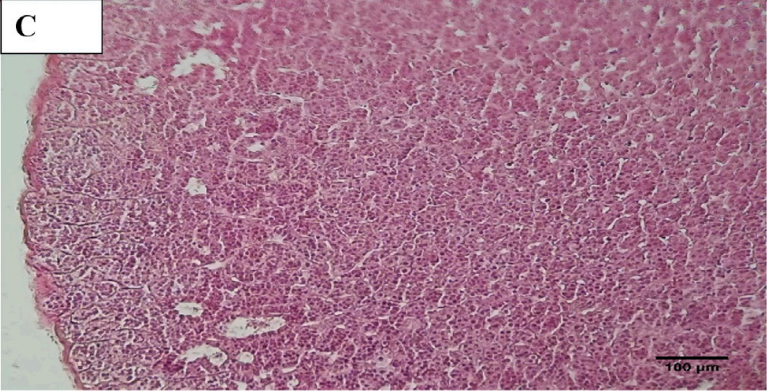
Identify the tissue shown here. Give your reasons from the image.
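A thin pink capsule runs along the left edge. Cells lie in cords running inward from the capsule. Cells have pink cytoplasm and dark round nuclei. That points to this answer: Adrenal.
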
